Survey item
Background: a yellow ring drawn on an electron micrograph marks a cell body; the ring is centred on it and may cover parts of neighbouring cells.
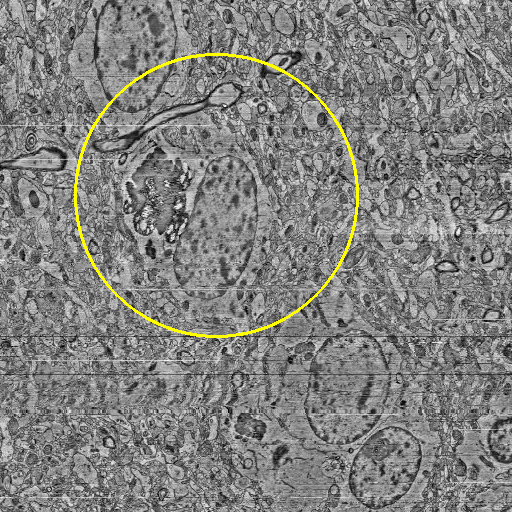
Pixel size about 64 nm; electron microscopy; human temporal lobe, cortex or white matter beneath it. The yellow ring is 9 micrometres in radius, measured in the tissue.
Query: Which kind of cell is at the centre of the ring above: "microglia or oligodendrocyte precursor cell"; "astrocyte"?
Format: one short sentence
The cell in the middle of the ring is an astrocyte.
